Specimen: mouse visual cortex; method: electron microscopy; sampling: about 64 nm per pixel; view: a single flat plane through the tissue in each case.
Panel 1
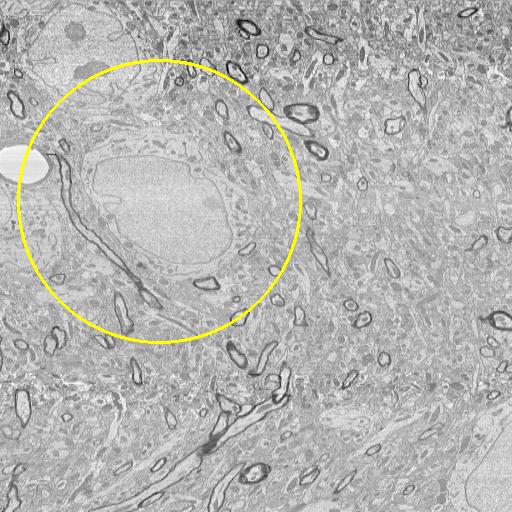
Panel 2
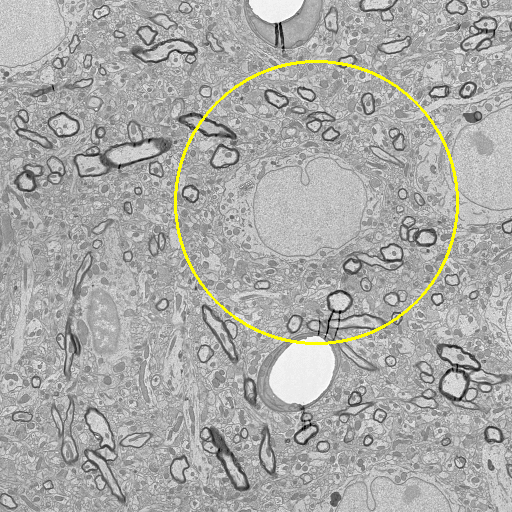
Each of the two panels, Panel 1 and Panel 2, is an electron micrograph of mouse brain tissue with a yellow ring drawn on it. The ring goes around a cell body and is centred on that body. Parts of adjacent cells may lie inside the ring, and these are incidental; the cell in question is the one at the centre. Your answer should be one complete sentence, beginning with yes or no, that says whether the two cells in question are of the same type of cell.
Yes, the two cells are of the same type.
